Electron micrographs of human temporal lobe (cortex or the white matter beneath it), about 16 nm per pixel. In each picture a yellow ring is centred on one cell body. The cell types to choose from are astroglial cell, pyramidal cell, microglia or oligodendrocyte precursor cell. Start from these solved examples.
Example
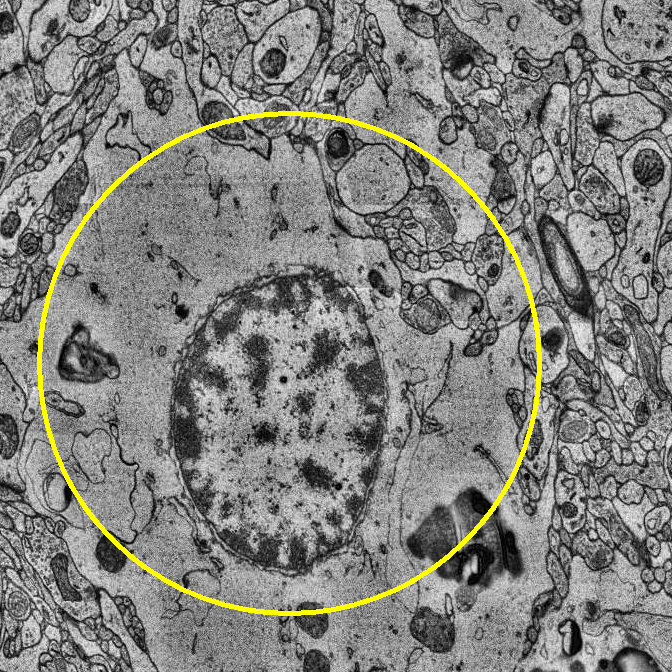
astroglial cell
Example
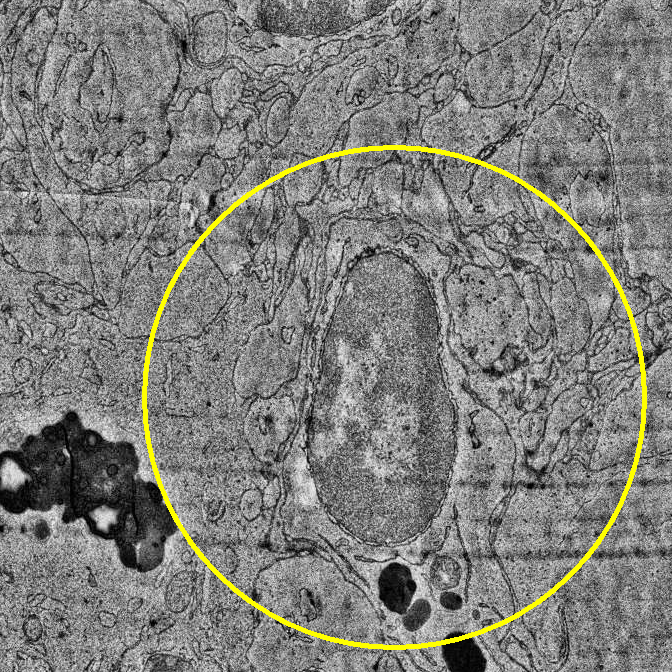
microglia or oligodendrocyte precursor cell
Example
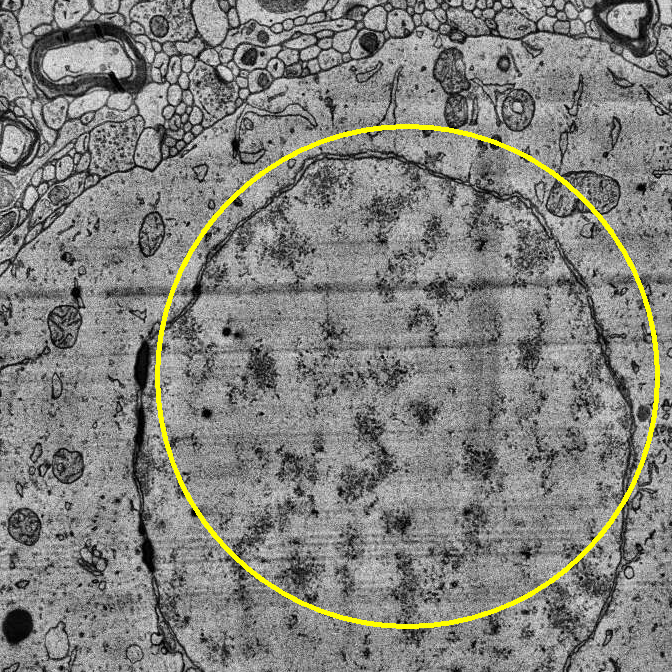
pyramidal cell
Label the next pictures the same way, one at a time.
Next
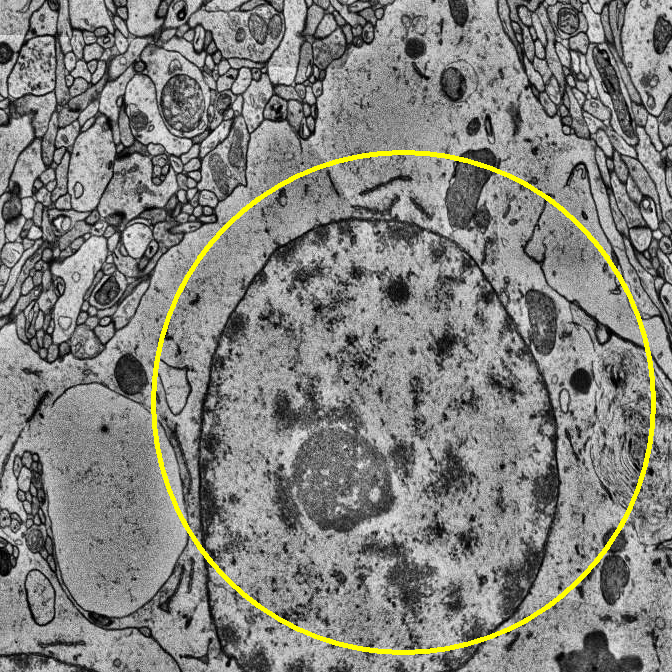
astroglial cell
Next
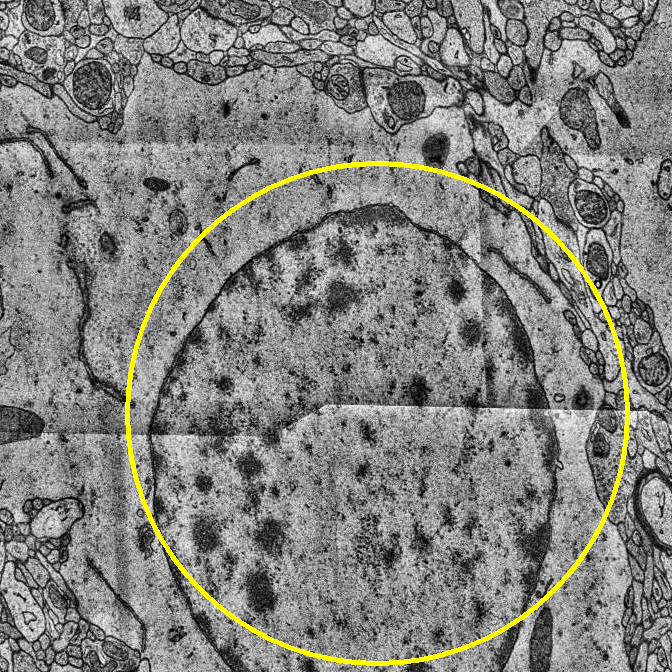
astroglial cell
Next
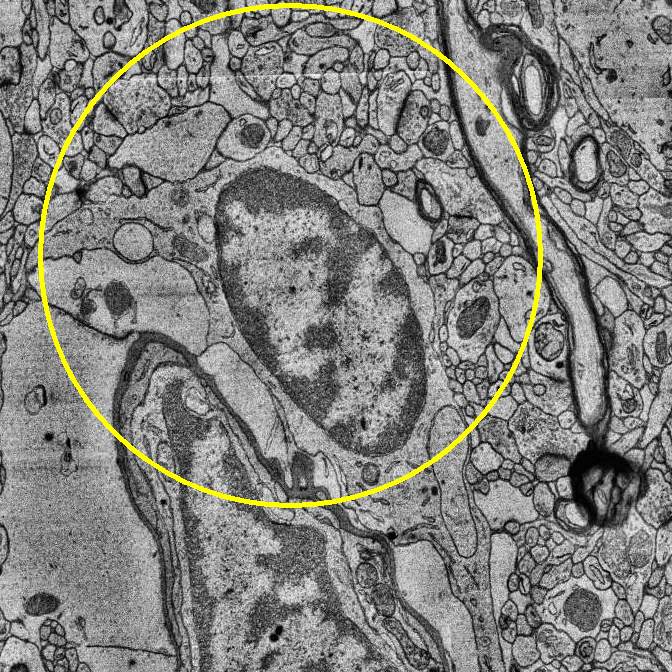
microglia or oligodendrocyte precursor cell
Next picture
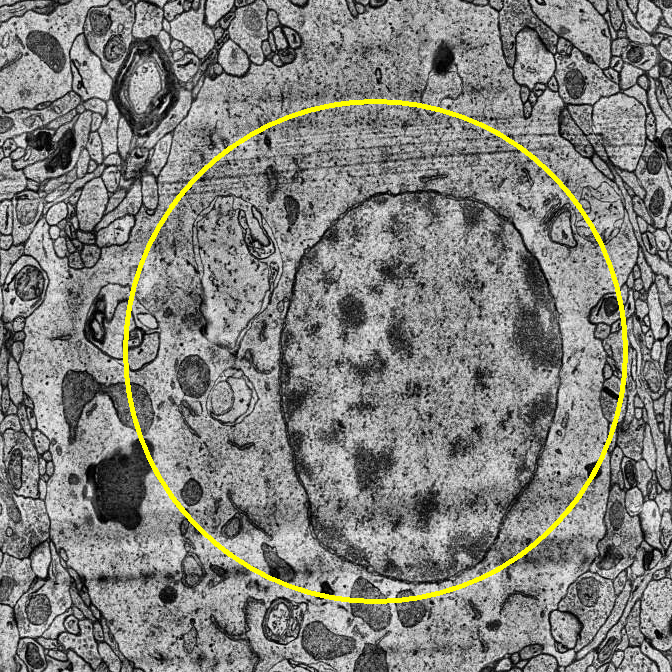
astroglial cell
